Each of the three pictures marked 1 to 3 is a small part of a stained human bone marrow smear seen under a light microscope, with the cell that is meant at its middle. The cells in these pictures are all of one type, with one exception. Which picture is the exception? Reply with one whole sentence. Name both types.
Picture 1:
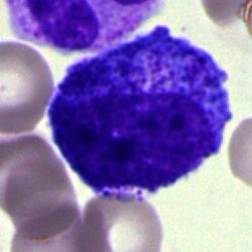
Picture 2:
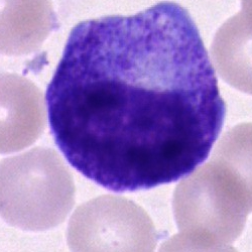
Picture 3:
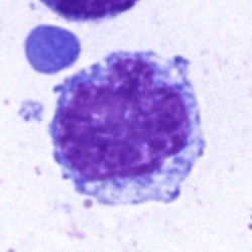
All pictures except 3 show promyelocytes; picture 3 shows a monocyte.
